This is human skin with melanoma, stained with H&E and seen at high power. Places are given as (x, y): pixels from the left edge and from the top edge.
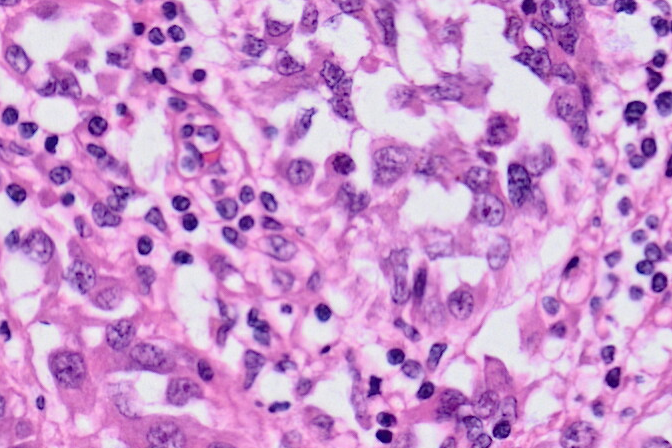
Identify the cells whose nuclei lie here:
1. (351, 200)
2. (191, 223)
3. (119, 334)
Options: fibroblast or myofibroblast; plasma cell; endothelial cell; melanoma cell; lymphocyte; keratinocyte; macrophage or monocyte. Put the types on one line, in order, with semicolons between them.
melanoma cell; lymphocyte; melanoma cell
